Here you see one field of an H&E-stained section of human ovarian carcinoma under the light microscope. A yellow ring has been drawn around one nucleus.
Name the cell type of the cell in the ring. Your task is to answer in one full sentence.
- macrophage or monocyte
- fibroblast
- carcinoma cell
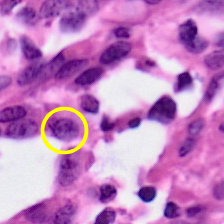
With respect to cell type, the cell in the ring is a carcinoma cell.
